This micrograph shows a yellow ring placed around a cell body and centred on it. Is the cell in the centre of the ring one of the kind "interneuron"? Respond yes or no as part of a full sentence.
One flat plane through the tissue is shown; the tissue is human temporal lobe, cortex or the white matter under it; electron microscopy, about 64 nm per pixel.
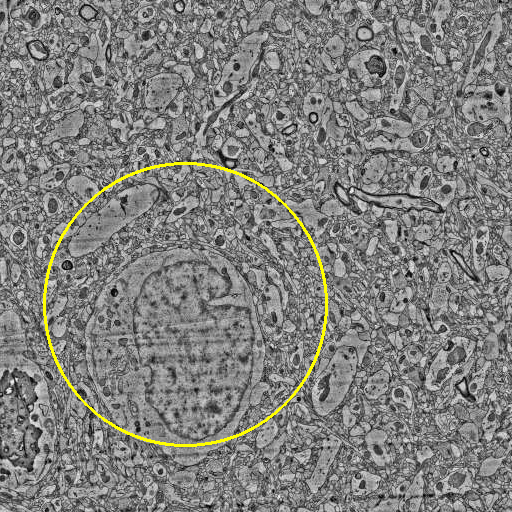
Yes, the cell in the centre of the ring within the picture is one of that kind.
